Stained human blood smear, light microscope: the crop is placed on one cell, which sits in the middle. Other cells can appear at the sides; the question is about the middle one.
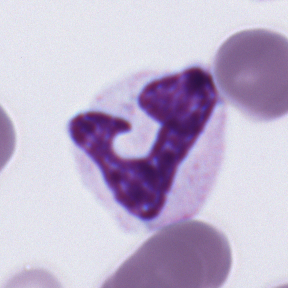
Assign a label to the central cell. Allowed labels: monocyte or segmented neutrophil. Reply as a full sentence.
In the crop, the cell of interest at the centre is a segmented neutrophil.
